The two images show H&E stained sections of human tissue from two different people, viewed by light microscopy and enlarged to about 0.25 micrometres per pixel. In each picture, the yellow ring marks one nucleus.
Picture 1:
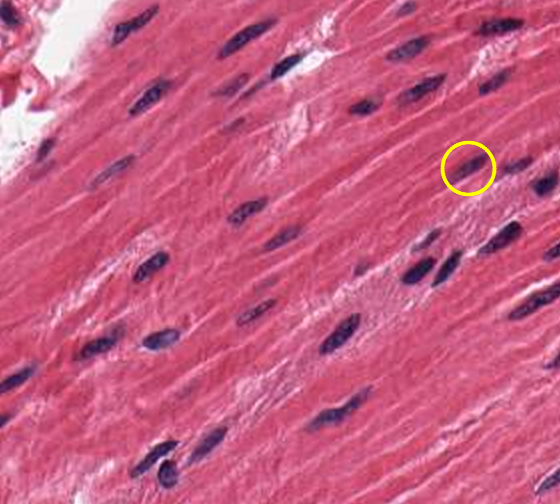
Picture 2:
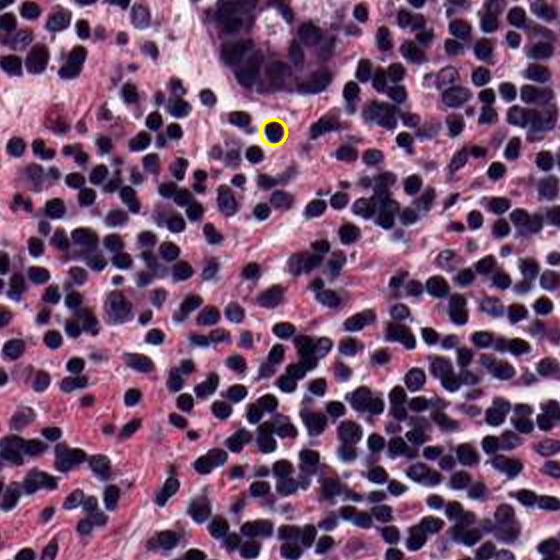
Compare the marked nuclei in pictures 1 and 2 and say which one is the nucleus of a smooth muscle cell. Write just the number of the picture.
1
